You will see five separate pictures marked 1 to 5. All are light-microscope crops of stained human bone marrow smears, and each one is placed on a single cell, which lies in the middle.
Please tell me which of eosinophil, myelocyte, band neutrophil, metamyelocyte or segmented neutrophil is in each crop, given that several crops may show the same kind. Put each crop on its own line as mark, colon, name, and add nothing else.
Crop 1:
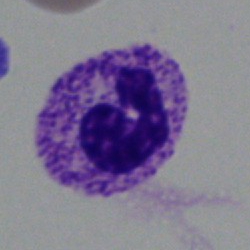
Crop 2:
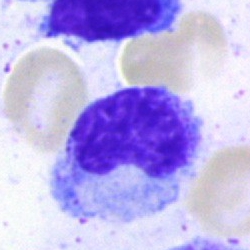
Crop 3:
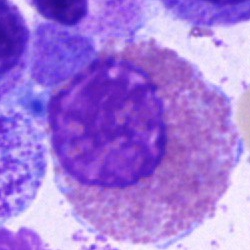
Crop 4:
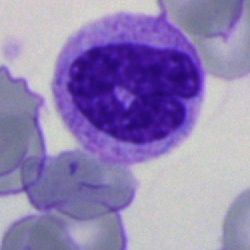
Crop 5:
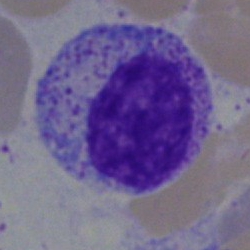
1: segmented neutrophil
2: metamyelocyte
3: eosinophil
4: band neutrophil
5: myelocyte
